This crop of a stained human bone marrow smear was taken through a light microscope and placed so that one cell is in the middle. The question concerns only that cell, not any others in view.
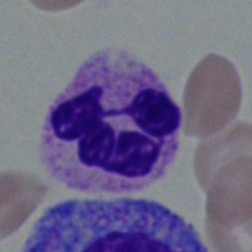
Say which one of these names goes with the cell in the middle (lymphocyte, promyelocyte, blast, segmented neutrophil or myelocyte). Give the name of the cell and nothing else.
segmented neutrophil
